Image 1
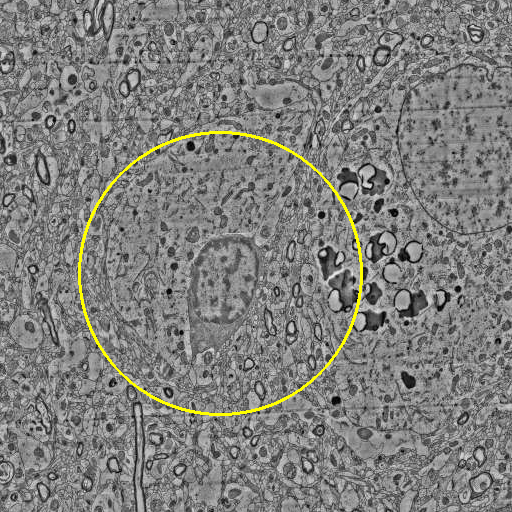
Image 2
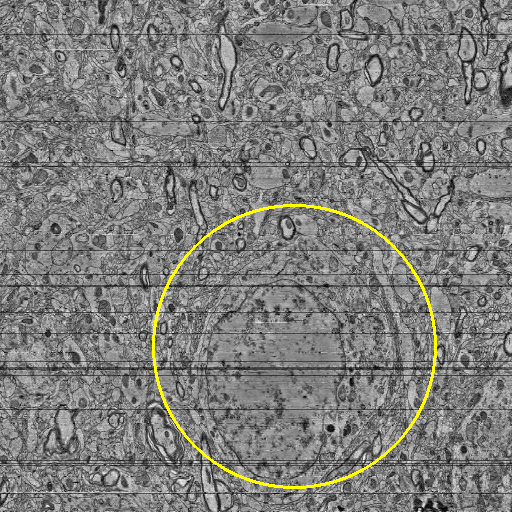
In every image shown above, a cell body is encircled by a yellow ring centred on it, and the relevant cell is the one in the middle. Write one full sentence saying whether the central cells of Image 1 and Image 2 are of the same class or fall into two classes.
The cell at the ring's centre in Image 1 and its counterpart in Image 2 fall into two classes.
